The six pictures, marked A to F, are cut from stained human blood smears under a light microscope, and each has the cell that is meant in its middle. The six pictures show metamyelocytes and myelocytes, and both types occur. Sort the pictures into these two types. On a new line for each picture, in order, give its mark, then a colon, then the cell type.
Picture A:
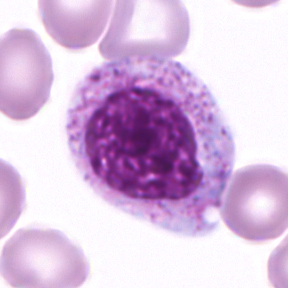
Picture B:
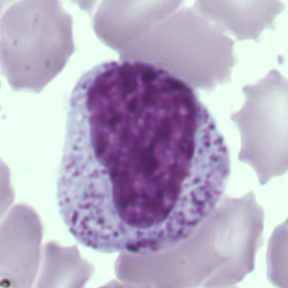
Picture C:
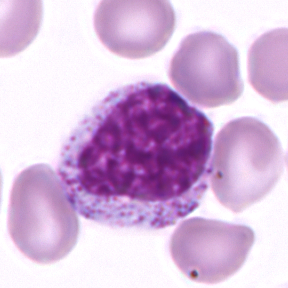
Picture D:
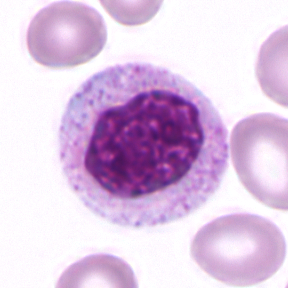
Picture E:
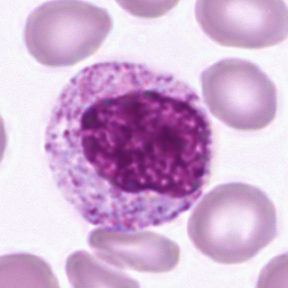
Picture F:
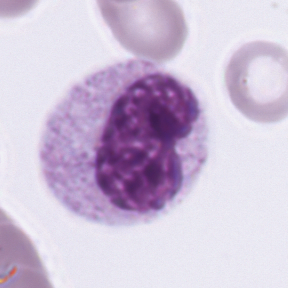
A: myelocyte
B: myelocyte
C: metamyelocyte
D: metamyelocyte
E: metamyelocyte
F: metamyelocyte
